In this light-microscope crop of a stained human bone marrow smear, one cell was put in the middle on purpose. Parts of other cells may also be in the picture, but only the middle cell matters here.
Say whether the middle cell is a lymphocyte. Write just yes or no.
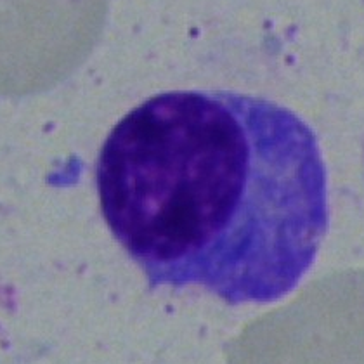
no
